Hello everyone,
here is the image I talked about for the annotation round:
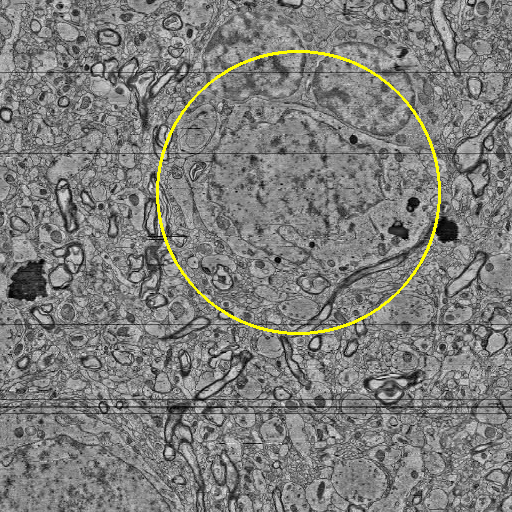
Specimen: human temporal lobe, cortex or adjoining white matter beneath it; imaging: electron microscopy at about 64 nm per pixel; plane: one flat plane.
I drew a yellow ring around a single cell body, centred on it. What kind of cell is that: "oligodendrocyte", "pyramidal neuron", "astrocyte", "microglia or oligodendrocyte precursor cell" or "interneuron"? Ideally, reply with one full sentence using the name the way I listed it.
The cell your yellow ring is centred on is an interneuron, going by your list.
